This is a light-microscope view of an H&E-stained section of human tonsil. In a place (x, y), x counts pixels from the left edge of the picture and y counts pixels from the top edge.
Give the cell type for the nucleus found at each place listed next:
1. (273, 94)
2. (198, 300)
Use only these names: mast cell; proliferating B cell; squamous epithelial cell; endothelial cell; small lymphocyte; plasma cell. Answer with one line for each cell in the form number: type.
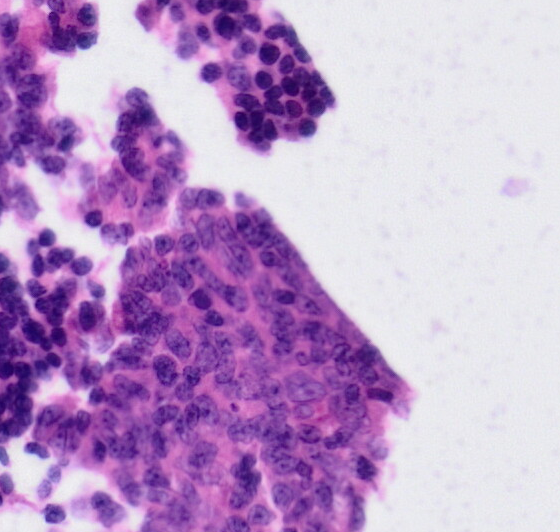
1: small lymphocyte
2: proliferating B cell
